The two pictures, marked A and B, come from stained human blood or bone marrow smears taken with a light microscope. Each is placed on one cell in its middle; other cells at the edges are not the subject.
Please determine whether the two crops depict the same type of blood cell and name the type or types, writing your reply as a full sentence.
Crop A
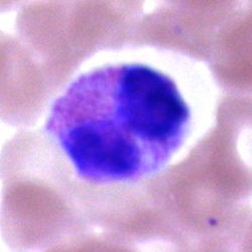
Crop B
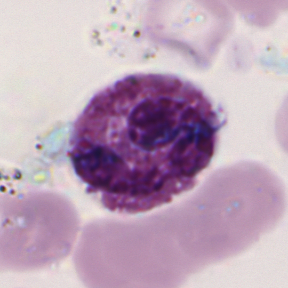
Yes, both crops, not just one, show eosinophils.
